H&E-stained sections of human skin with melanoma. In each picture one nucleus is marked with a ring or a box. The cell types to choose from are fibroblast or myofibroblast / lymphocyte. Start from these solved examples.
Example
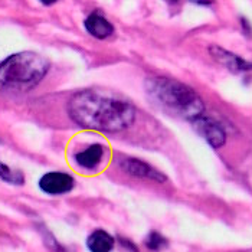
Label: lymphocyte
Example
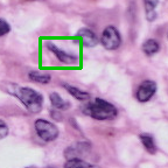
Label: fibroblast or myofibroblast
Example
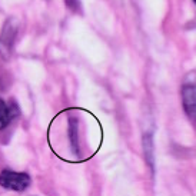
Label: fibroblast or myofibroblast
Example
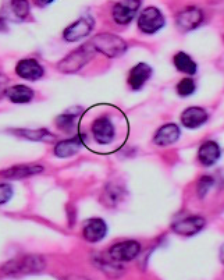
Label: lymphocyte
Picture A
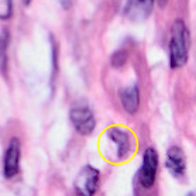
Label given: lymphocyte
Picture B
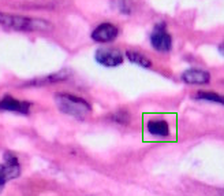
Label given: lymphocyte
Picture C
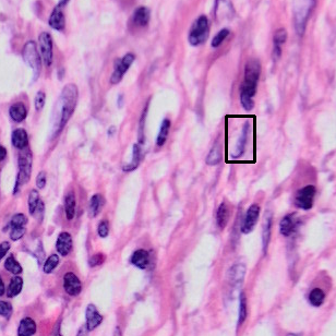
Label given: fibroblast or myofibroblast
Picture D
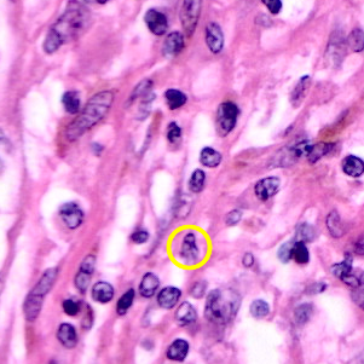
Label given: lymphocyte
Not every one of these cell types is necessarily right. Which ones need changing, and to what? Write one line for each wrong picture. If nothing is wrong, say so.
A: not lymphocyte but fibroblast or myofibroblast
